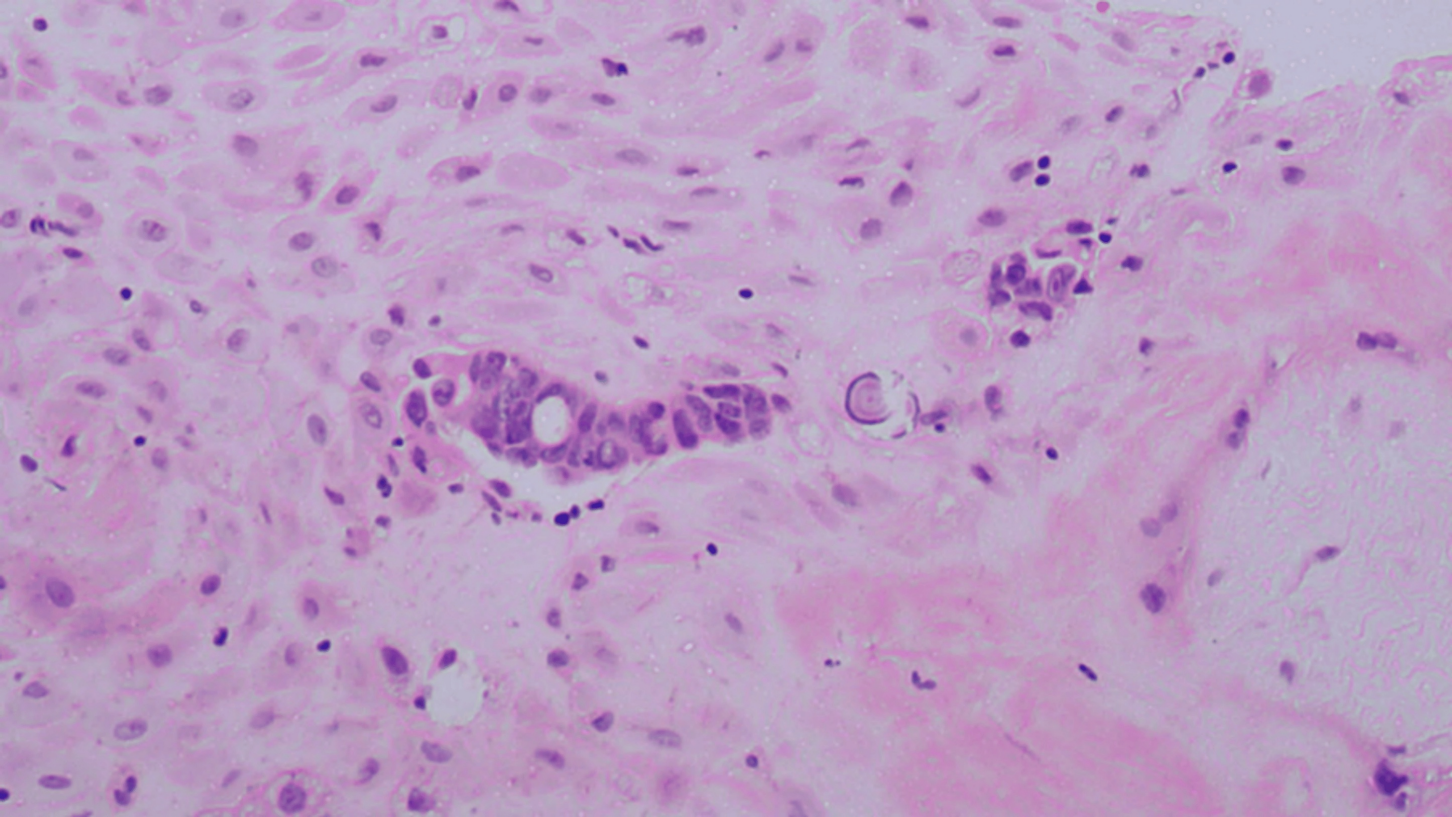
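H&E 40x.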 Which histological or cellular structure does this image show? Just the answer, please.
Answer: Psammoma body.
